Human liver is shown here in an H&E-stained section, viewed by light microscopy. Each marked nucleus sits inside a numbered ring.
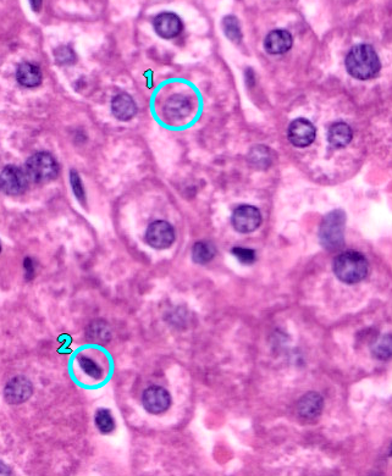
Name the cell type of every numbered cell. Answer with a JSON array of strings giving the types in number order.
["hepatocyte", "lymphocyte"]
